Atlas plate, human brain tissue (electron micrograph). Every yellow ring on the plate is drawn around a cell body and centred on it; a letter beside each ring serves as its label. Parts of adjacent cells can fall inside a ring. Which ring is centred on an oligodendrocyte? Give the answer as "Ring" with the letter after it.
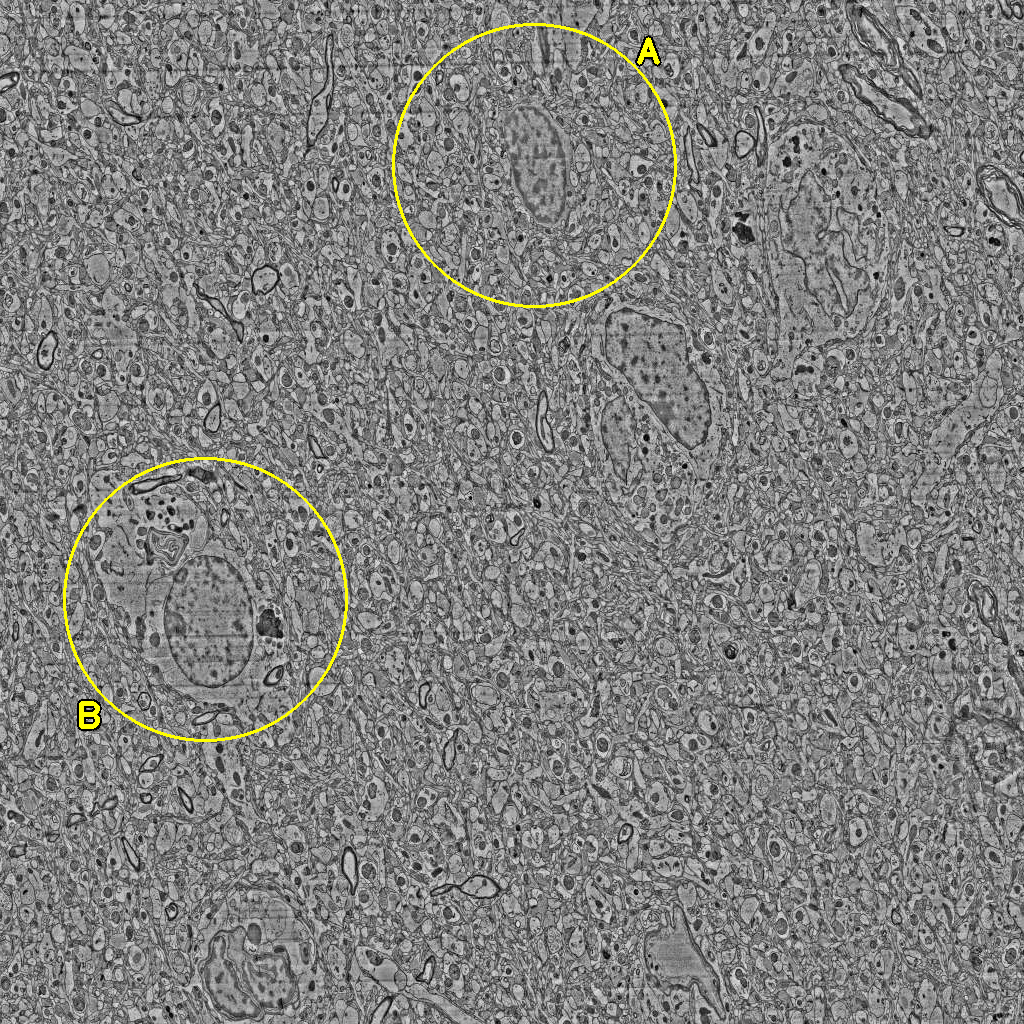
Ring A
